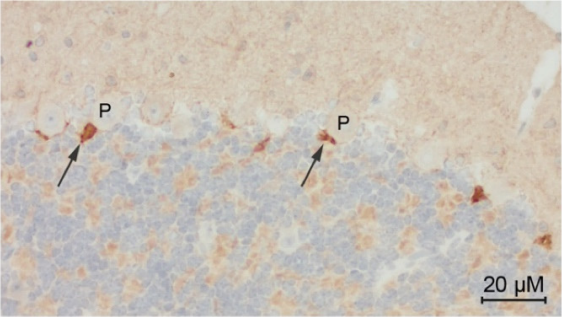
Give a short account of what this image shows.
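The Purkinje cell bodies are big, rounded and pale, while the granule layer below is packed with small, round, blue-stained nuclei of granule neurons. Dark brown deposits cling to the lower pole of the Purkinje cell bodies; these are the basket cell terminal pinceaux. The Purkinje cells themselves and the neurons of the granule layer remain unstained.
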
